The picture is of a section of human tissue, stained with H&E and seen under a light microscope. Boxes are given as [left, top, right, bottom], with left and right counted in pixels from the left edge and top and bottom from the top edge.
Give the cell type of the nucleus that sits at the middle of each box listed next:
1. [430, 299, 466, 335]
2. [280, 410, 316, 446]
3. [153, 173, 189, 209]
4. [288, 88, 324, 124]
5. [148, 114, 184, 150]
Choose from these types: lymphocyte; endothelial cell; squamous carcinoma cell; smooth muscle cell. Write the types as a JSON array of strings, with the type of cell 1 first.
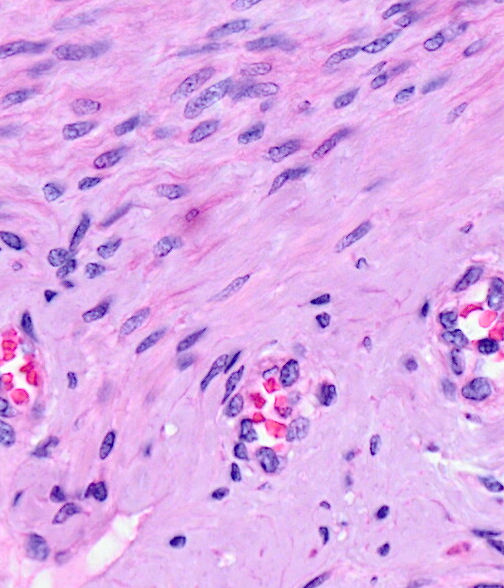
["endothelial cell", "endothelial cell", "smooth muscle cell", "smooth muscle cell", "smooth muscle cell"]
